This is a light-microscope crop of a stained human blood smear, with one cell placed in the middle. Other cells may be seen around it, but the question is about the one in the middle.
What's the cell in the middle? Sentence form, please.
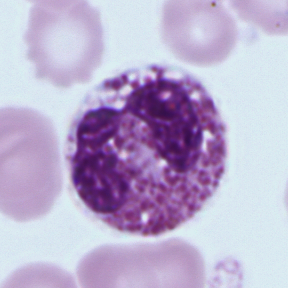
Where the crop is centred, there is an eosinophil.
